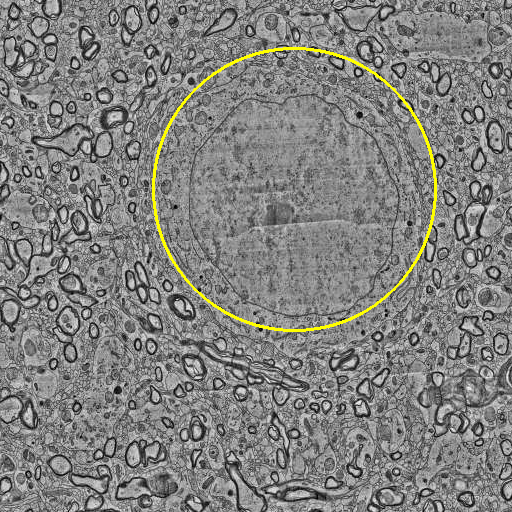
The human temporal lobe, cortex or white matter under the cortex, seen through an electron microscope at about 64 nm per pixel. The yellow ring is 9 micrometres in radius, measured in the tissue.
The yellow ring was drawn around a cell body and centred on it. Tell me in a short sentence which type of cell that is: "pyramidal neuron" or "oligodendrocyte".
The cell at the ring's centre is a pyramidal neuron.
